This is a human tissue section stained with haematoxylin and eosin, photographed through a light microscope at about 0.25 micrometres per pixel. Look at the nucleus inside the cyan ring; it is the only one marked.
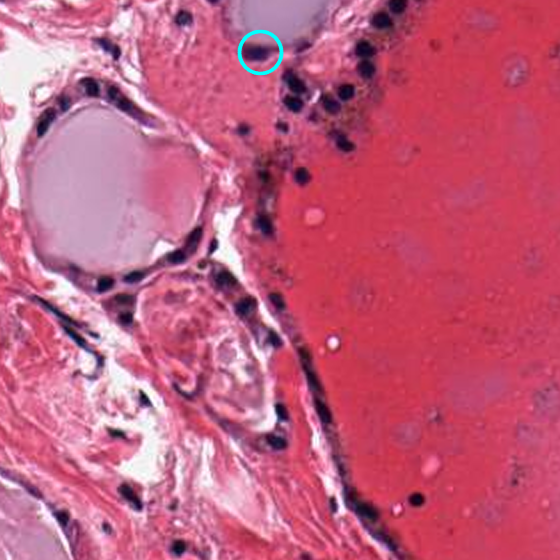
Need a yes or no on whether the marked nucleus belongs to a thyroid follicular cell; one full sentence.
Yes, it is a thyroid follicular cell that holds the marked nucleus.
